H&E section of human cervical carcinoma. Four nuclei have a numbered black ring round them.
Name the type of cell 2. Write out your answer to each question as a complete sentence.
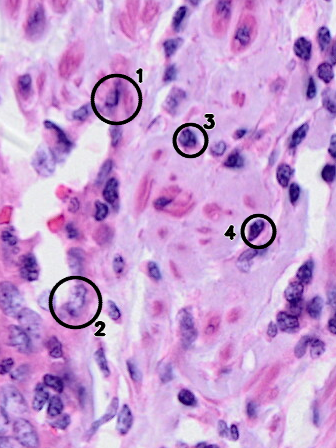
Among the marked cells, number 2 is an endothelial cell.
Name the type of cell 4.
The cell identified by number 4 is a lymphocyte.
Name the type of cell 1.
The one numbered 1 among the marked cells is an endothelial cell.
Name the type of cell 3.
The cell that is numbered 3 is a lymphocyte.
